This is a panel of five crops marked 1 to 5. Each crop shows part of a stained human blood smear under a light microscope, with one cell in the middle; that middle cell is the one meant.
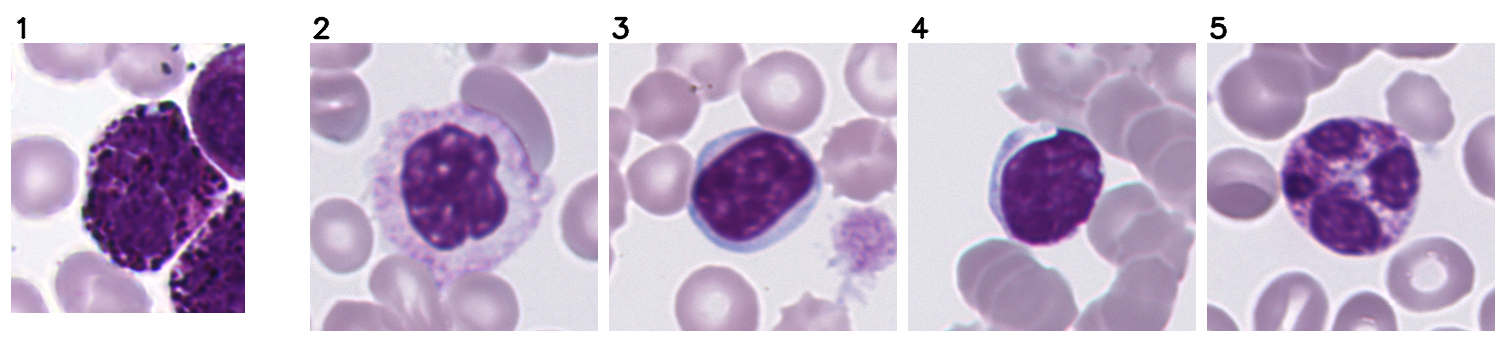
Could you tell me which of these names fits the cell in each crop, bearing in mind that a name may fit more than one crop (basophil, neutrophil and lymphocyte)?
1: basophil
2: neutrophil
3: lymphocyte
4: lymphocyte
5: basophil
